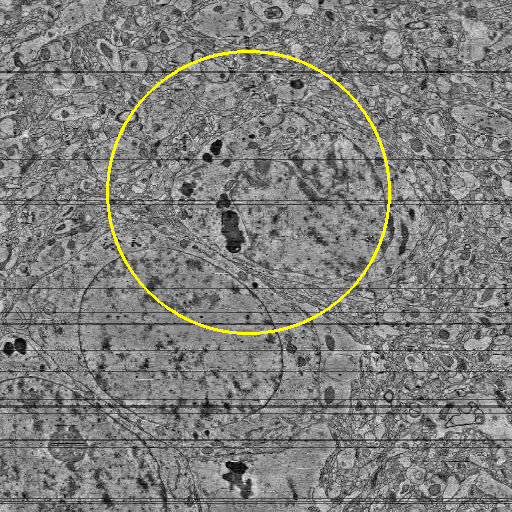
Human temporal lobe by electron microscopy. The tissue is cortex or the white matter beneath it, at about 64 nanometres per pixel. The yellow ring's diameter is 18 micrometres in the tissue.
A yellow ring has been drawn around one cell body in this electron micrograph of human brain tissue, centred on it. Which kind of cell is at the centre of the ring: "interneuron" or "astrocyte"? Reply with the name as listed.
interneuron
